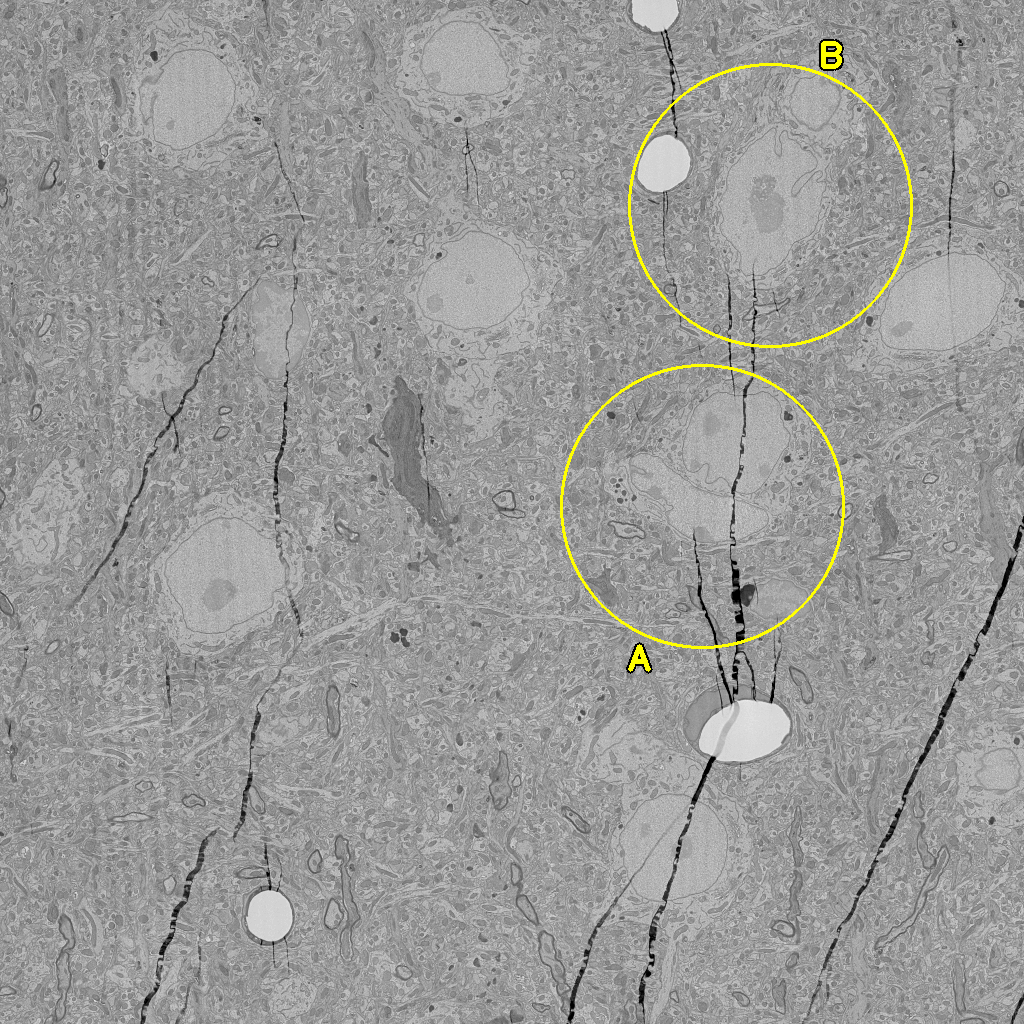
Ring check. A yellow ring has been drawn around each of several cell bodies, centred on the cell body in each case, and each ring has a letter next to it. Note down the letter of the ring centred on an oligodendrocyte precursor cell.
A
